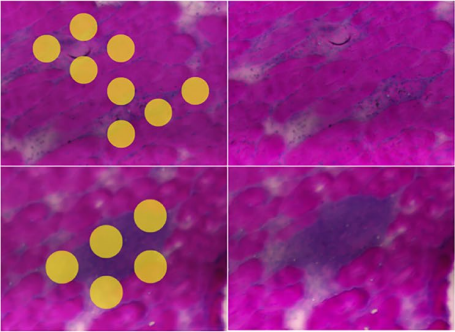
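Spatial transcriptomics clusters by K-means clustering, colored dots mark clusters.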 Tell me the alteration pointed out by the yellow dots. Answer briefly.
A: Inflammatory infiltrates.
